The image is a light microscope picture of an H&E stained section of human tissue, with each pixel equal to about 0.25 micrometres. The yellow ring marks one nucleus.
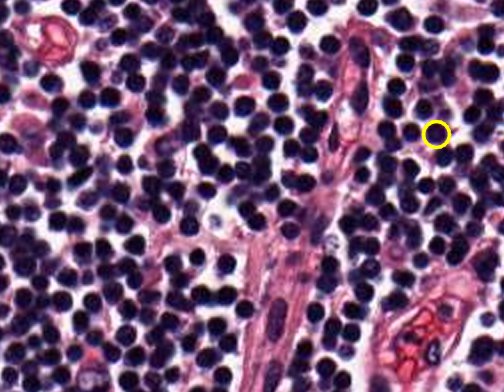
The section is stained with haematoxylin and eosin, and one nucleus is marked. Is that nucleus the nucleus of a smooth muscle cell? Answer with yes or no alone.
no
